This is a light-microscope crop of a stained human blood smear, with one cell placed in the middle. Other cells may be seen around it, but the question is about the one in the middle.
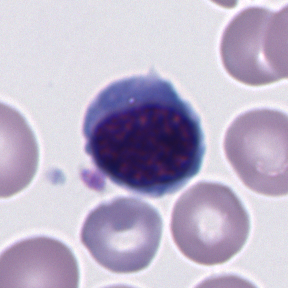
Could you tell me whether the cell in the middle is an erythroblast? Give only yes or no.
yes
